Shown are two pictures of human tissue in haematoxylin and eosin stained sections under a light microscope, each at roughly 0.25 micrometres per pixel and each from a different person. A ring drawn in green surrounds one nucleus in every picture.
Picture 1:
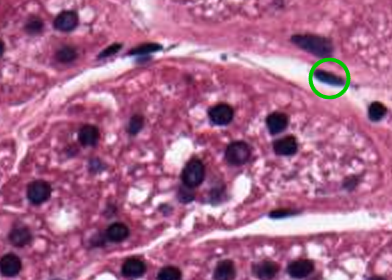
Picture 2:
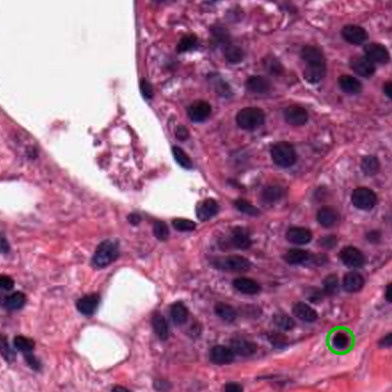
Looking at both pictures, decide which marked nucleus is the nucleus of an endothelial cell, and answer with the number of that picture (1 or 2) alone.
1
